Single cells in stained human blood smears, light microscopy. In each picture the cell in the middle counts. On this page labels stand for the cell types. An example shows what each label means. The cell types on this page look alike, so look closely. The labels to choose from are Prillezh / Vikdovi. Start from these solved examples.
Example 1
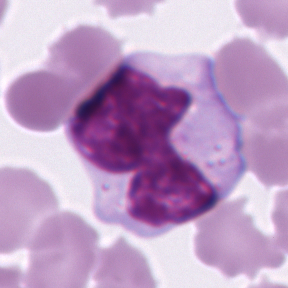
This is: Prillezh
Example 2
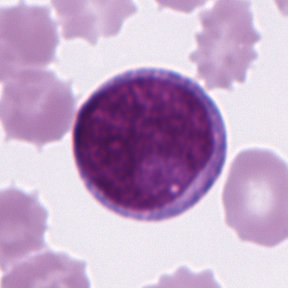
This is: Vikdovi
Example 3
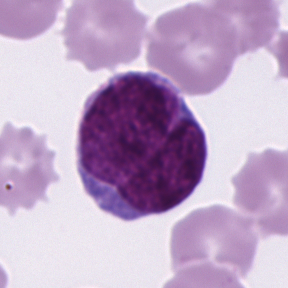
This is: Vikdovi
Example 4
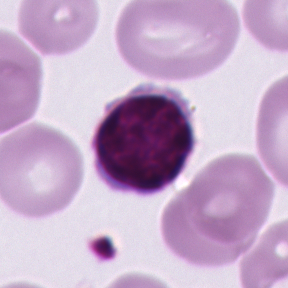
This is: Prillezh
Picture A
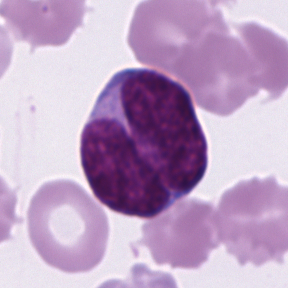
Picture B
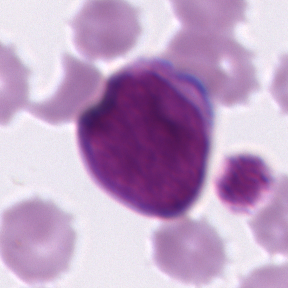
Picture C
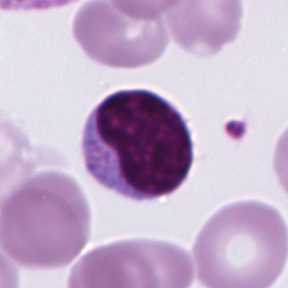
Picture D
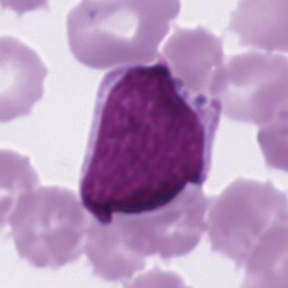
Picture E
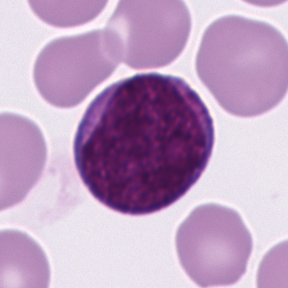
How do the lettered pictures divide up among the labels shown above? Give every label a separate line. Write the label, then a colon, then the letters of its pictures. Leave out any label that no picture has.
Prillezh: C
Vikdovi: A, B, D, E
